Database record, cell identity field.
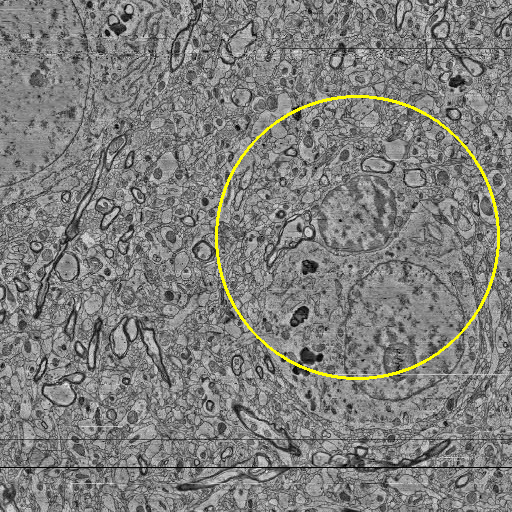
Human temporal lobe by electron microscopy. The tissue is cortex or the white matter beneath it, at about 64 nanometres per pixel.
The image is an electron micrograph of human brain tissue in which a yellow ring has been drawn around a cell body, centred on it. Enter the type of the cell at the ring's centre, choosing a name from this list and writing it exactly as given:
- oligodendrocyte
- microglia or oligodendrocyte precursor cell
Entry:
oligodendrocyte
